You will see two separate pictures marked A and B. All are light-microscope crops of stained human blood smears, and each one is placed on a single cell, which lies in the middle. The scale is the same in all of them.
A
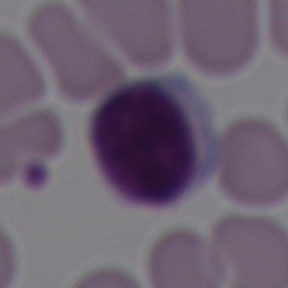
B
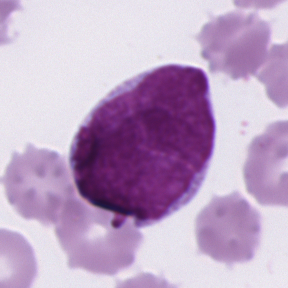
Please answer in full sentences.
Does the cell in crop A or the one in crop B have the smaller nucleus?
Smaller is the nucleus in crop A, and the other is about 2 times as large in area.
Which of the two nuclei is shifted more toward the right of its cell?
The nucleus in crop B lies further toward the right of its cell.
